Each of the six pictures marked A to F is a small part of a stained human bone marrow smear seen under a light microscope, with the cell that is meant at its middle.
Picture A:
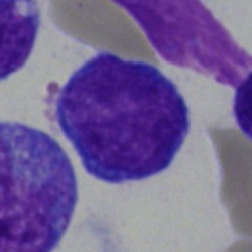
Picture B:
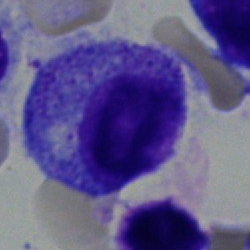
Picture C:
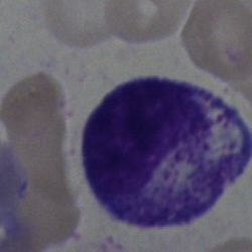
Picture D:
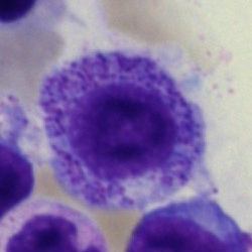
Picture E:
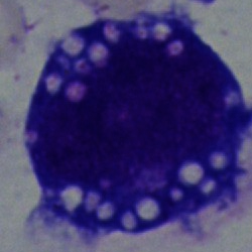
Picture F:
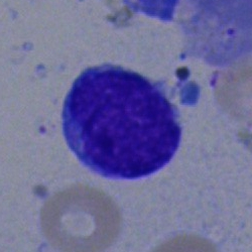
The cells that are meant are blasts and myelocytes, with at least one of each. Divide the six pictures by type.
A: blast
B: myelocyte
C: myelocyte
D: myelocyte
E: blast
F: blast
